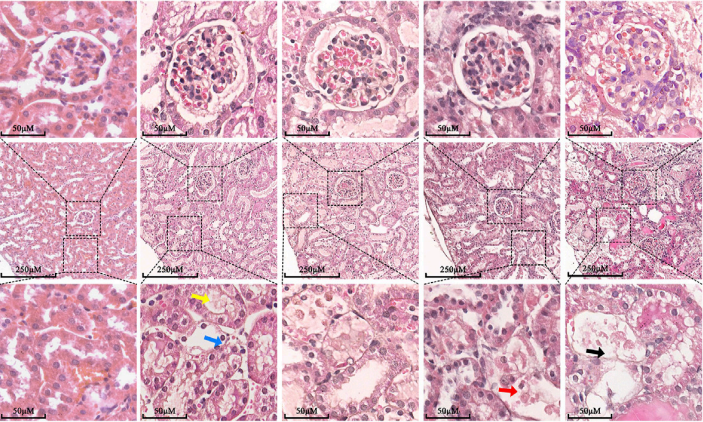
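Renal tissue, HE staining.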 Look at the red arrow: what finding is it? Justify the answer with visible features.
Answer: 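Cell necrosis. The red arrow in the bottom row points into a tubule. It marks pale, fragmented epithelial material with poorly defined nuclei.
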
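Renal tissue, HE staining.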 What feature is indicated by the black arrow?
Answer: Naked basement membrane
